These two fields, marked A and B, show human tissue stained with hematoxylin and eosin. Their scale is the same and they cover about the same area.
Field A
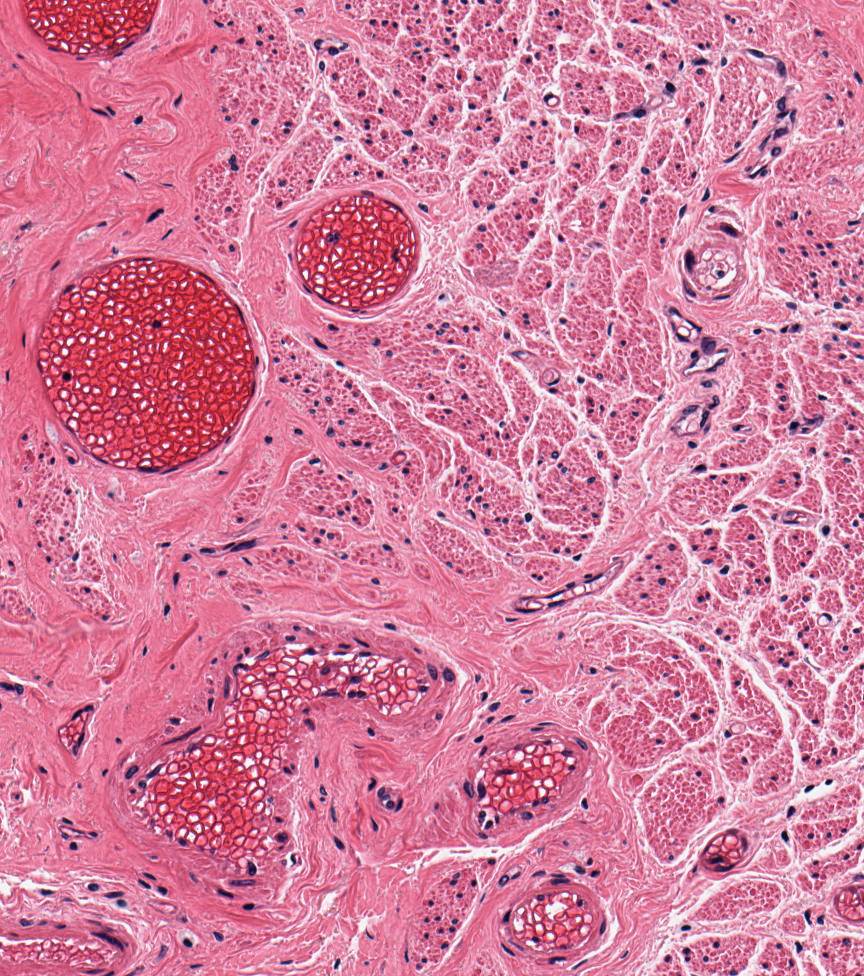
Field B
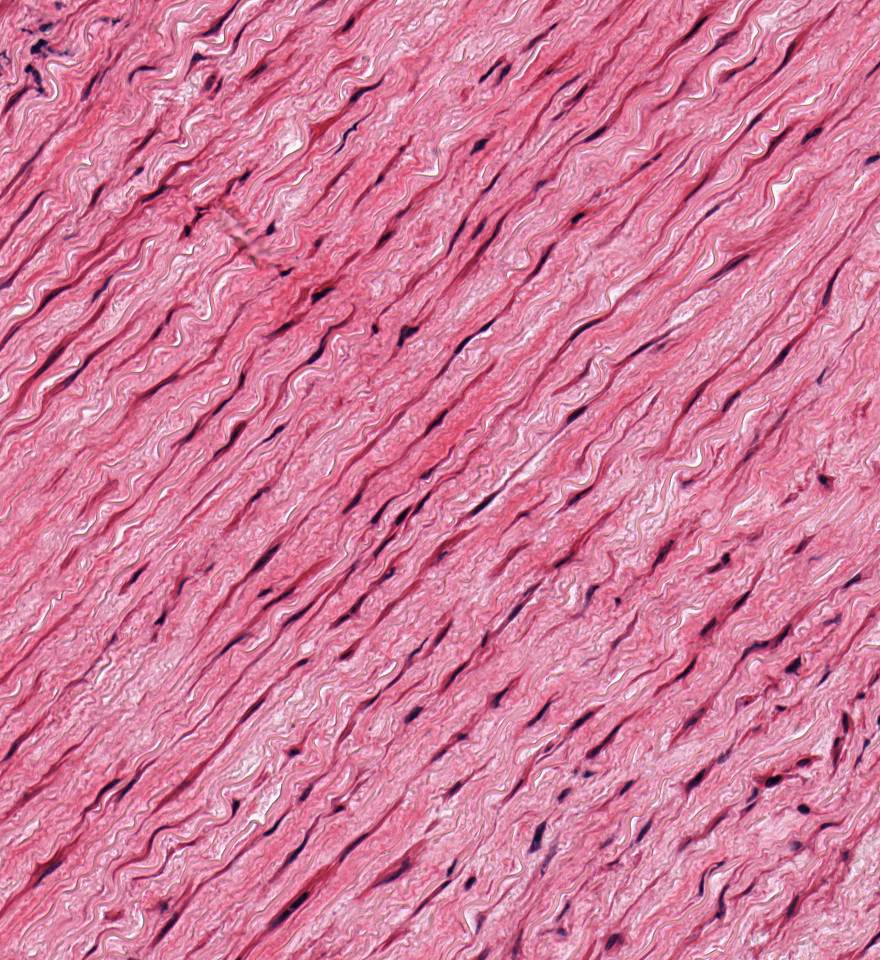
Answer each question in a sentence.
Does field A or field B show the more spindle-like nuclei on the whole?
On the whole the nuclei of field B are more drawn out than those of field A.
